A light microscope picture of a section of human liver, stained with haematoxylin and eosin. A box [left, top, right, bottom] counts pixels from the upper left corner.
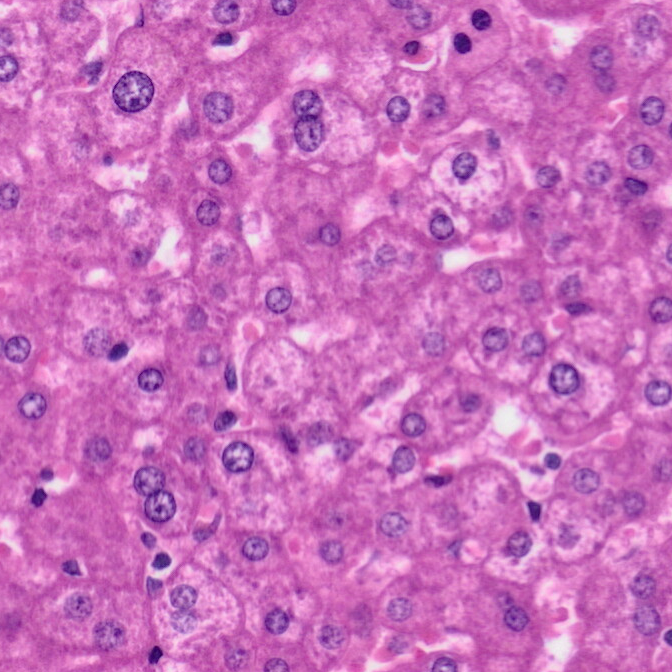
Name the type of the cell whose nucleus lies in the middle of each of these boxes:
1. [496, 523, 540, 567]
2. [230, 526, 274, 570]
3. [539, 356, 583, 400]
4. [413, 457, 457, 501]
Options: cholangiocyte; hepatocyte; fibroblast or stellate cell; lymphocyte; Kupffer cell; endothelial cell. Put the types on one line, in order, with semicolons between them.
hepatocyte; hepatocyte; hepatocyte; endothelial cell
